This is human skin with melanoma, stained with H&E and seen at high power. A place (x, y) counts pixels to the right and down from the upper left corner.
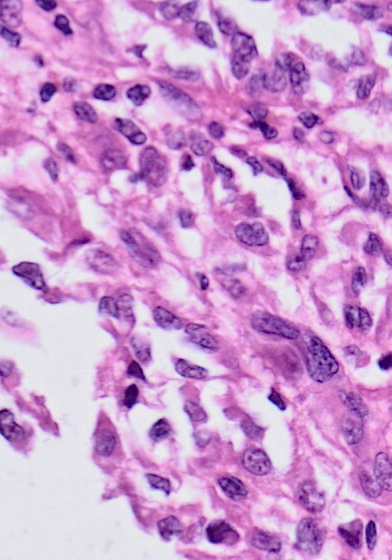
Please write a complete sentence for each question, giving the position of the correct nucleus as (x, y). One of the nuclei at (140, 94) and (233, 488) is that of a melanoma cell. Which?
It is the nucleus at (233, 488) that forms part of a melanoma cell.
